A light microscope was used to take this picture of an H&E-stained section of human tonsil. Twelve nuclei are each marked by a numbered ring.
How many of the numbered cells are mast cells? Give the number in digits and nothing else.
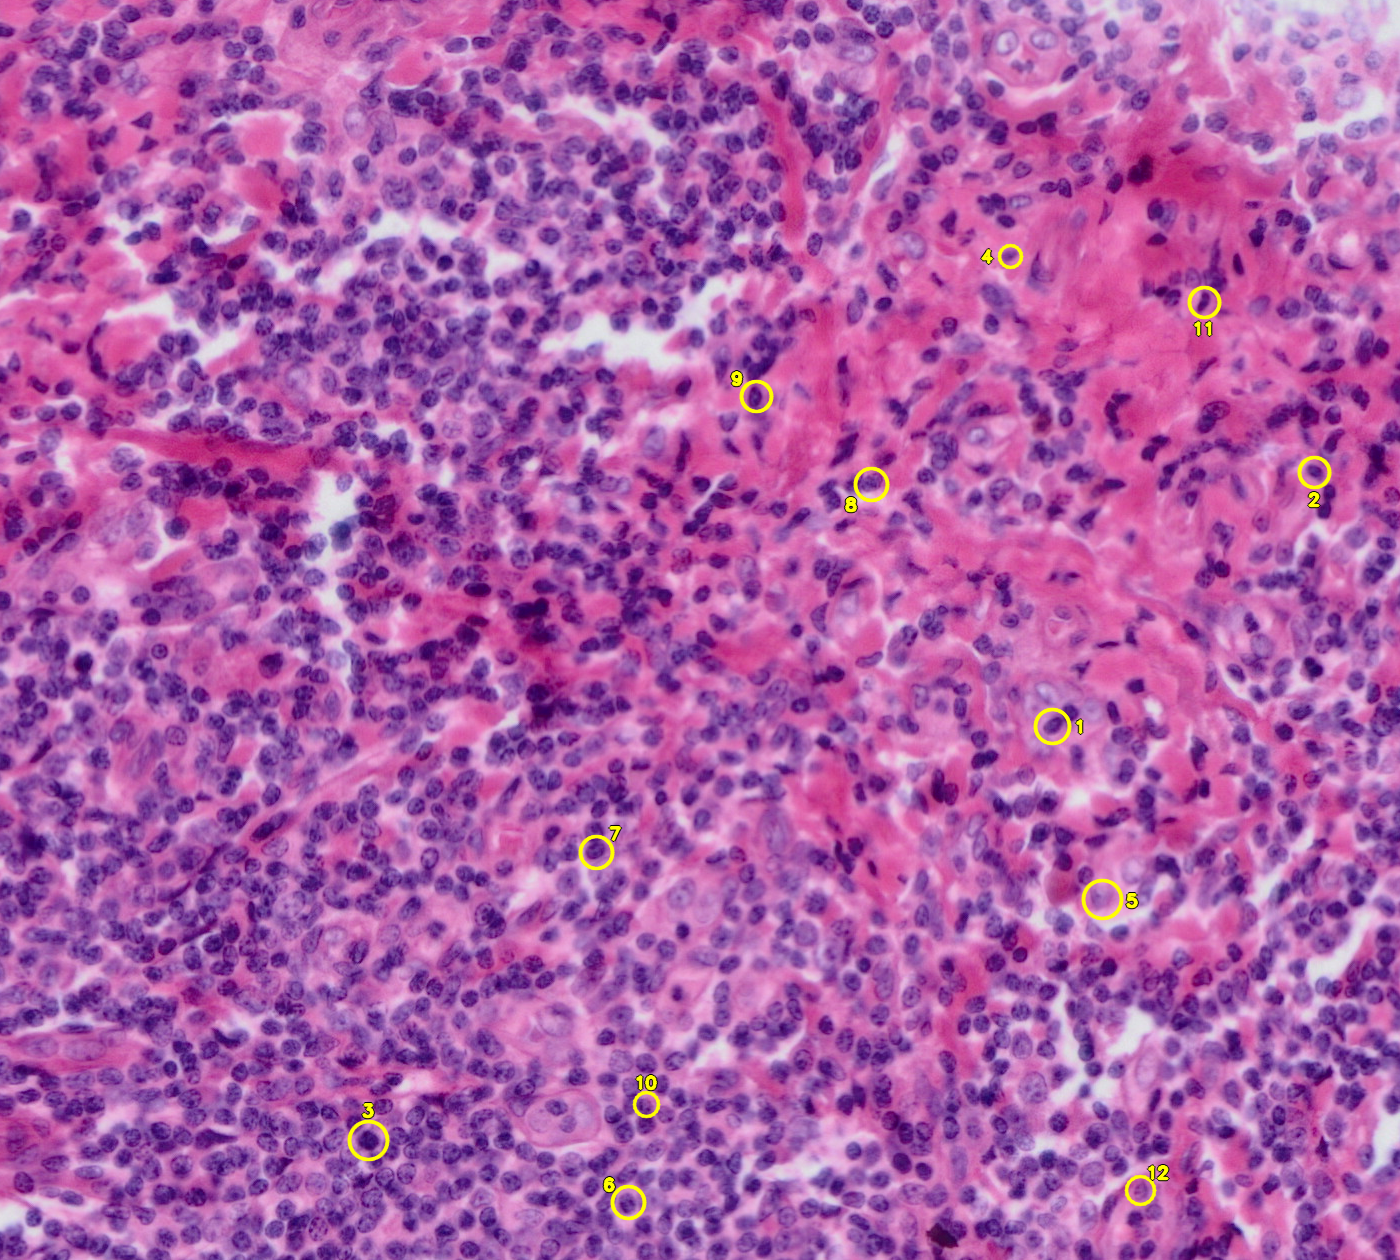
4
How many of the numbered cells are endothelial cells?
3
